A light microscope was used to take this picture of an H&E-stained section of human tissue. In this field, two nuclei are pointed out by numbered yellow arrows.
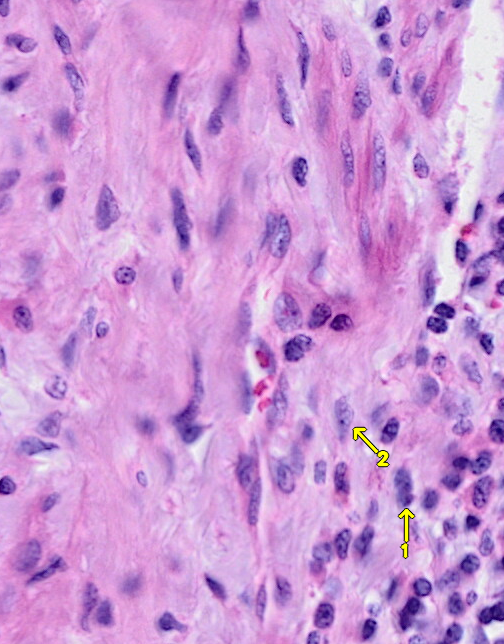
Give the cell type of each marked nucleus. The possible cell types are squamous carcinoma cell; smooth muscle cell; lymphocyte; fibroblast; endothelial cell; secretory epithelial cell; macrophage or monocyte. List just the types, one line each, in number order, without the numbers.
lymphocyte
fibroblast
